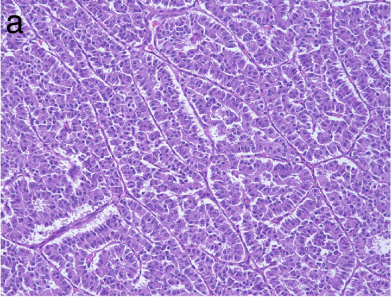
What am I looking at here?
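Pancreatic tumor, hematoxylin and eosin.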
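The cords branch and run side by side, separated by very thin strands of pink connective tissue carrying small vessels. The cells have round, evenly sized purple nuclei and a moderate amount of pink to purplish cytoplasm.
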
